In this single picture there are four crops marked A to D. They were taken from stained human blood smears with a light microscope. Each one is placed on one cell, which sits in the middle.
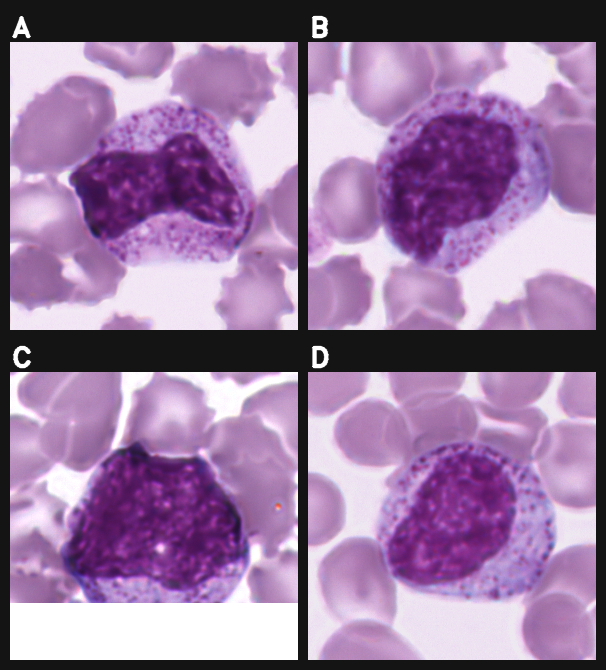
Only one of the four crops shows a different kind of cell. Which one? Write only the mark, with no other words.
A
